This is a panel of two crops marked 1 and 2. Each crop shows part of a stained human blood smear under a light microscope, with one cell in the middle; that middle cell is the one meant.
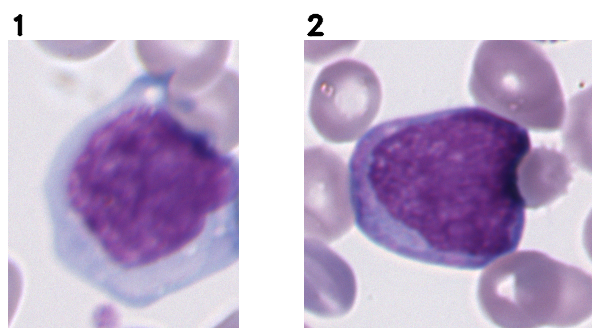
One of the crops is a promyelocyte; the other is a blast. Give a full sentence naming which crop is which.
Crop 1 is a blast, whereas a promyelocyte is found in crop 2.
